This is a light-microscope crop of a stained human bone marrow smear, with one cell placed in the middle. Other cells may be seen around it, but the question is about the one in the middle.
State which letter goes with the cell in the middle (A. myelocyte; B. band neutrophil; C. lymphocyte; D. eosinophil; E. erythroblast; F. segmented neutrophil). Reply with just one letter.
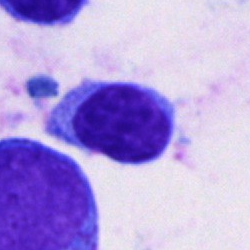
C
